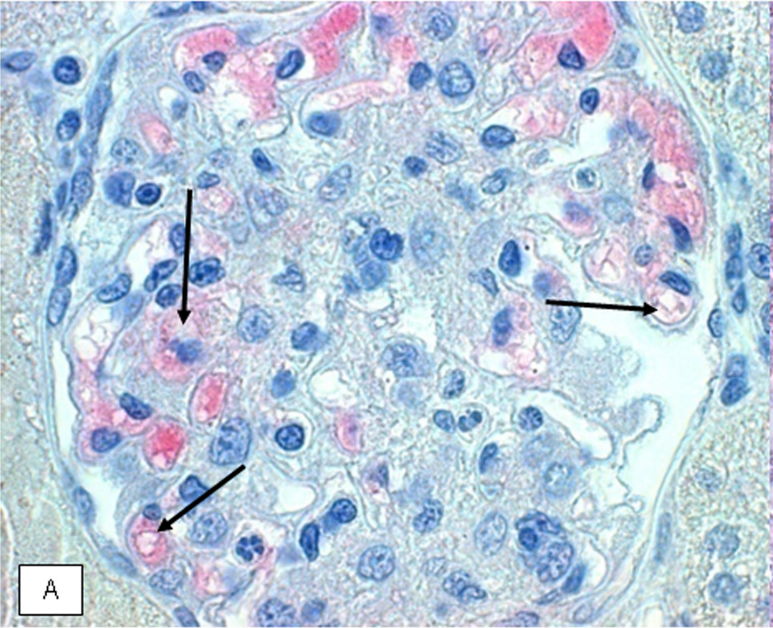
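A single round glomerulus fills the view, bounded by a thin capsule and a clear crescent of space around much of its edge. Inside are many crowded cells with blue oval and round nuclei, some of them large and pale, lying among capillary loops. Bright pink-red stain fills the cytoplasm of scattered cells and loop segments, mostly toward the rim of the tuft. Outside the capsule lie parts of tubules with pale granular cytoplasm.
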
